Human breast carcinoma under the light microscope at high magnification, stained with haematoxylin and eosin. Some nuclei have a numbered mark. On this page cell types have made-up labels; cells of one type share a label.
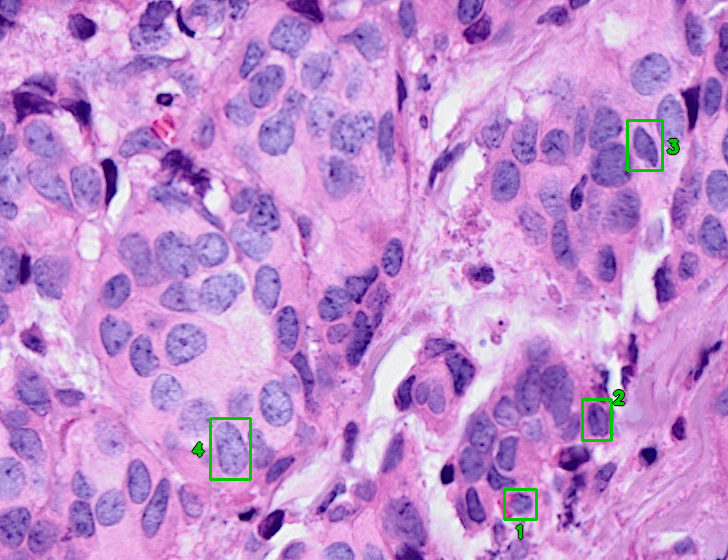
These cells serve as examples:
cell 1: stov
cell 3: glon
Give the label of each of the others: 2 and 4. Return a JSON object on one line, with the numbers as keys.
{"2": "glon", "4": "glon"}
